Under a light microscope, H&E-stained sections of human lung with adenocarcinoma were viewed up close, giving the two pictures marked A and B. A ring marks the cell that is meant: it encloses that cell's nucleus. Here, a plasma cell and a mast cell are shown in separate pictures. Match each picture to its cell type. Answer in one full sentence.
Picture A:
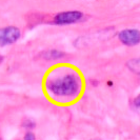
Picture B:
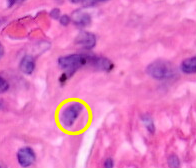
It is picture A that shows a plasma cell, and picture B that shows a mast cell.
